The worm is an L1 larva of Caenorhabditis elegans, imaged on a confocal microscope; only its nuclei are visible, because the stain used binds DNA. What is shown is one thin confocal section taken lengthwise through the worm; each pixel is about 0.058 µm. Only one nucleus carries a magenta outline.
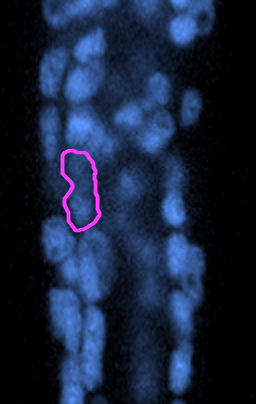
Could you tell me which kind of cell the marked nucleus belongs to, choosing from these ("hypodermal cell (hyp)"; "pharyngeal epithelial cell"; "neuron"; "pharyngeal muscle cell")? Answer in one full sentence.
The marked nucleus is that of a pharyngeal epithelial cell.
